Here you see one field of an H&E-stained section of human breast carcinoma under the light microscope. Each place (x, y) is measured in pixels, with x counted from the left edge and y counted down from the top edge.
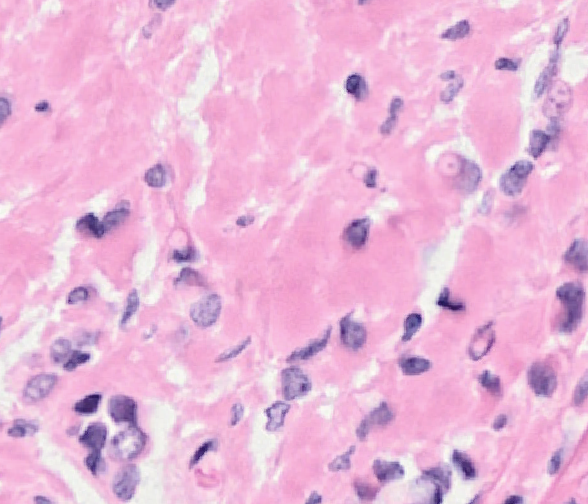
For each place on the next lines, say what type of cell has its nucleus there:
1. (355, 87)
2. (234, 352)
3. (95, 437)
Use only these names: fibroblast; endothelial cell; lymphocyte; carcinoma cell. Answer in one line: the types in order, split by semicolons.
lymphocyte; fibroblast; carcinoma cell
